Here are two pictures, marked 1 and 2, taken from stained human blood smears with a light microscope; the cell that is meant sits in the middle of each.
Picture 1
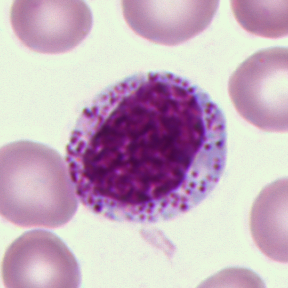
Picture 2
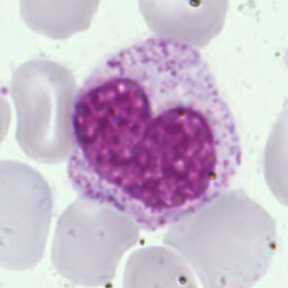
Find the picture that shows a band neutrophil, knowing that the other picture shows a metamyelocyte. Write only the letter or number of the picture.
2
